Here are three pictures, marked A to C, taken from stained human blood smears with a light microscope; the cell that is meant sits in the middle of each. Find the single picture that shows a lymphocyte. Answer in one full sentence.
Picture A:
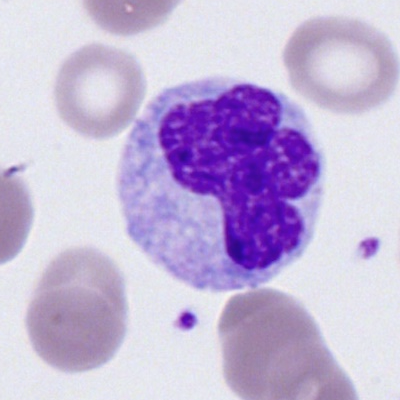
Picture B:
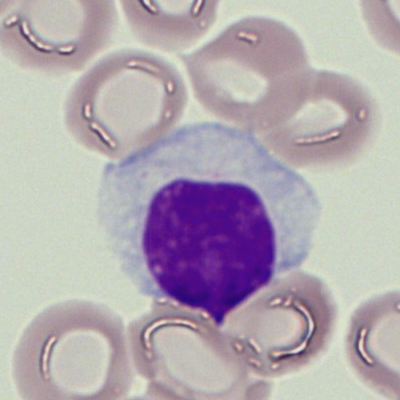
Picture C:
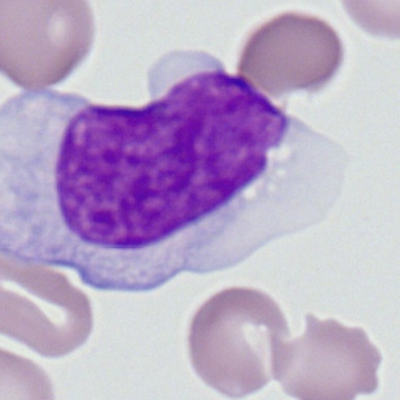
The cell in picture B is the lymphocyte.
